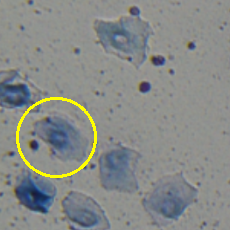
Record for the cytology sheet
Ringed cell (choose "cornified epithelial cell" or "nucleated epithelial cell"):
nucleated epithelial cell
